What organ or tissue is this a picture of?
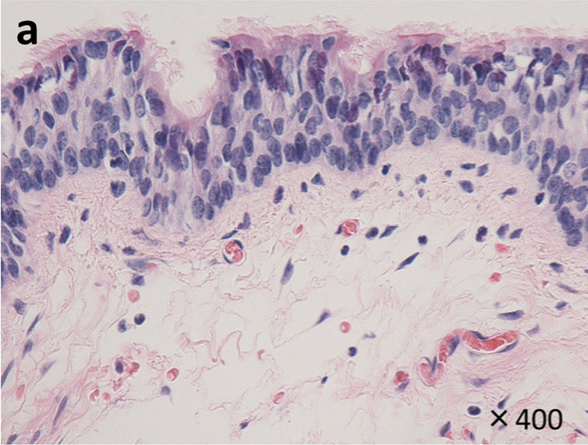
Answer: Pseudostratified ciliated epithelium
